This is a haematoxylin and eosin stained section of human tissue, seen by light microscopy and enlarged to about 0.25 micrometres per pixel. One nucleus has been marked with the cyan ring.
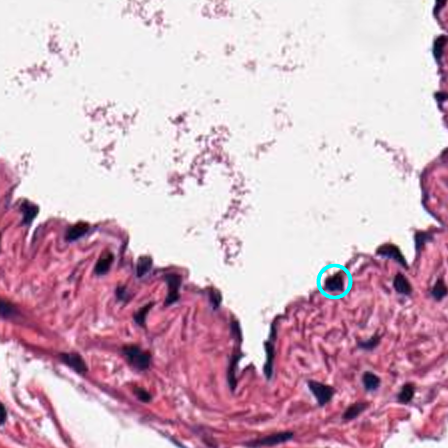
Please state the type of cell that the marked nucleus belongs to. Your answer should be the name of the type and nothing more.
endothelial cell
